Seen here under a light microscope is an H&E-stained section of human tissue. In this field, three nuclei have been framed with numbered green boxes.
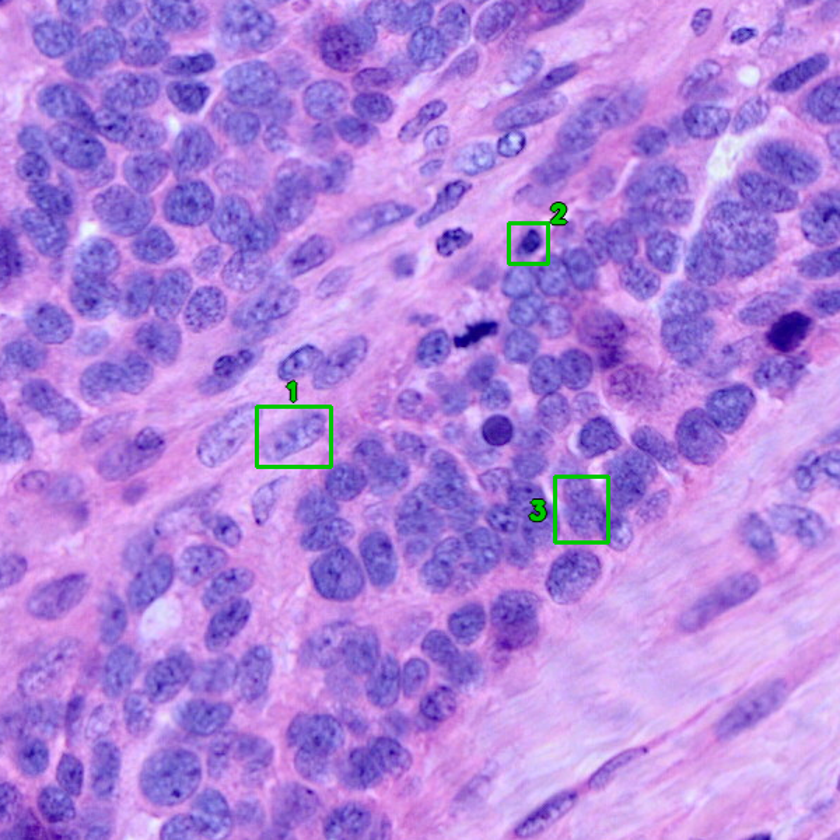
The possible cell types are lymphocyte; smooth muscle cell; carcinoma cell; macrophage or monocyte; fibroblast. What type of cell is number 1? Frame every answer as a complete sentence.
The cell identified by the number 1 is a fibroblast.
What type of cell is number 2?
The cell with the number 2 is a lymphocyte.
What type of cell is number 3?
The cell referred to as 3 is a carcinoma cell.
